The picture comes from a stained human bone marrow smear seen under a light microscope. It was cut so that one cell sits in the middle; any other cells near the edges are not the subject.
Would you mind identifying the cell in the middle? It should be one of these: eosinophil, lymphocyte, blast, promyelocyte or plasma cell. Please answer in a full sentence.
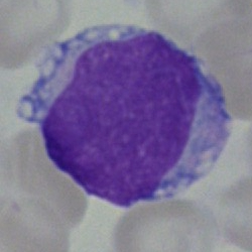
The cell in the middle of this crop is a blast.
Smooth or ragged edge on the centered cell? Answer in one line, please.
Projections or ragged segments give this cell an irregular rather than smooth border.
